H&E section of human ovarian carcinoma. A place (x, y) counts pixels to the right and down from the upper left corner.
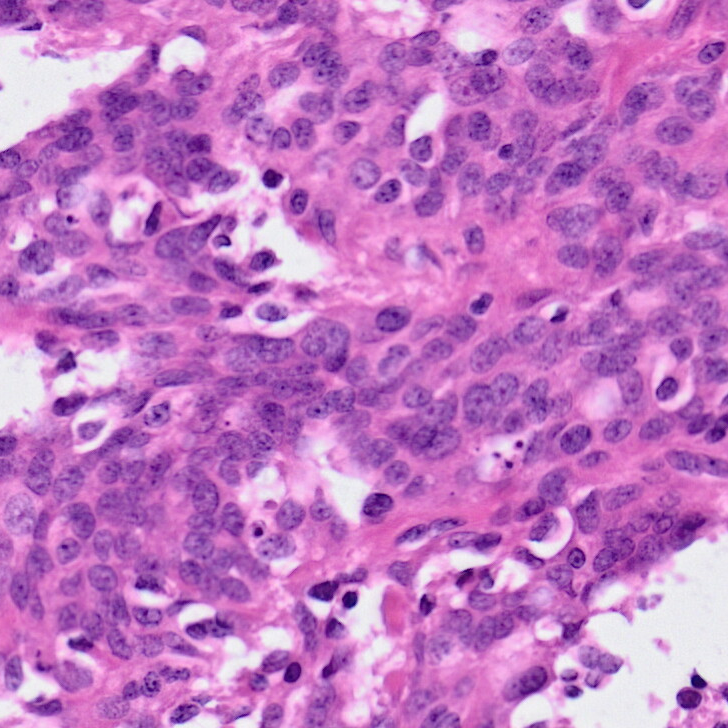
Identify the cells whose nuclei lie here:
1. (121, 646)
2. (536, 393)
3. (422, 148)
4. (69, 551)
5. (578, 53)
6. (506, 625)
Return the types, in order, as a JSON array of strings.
["carcinoma cell", "carcinoma cell", "macrophage or monocyte", "macrophage or monocyte", "carcinoma cell", "carcinoma cell"]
